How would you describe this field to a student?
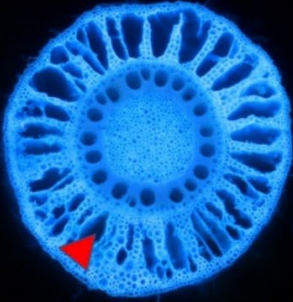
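This root cross-section shows root cortical aerenchyma, in which much of the cortex has been replaced by large air spaces. The air spaces are elongated and arranged radially, separated by narrow strands of remaining cells that run like spokes from the inner to the outer cortex. A few layers of intact small cells remain at the outer edge and next to the central cylinder. The central cylinder holds a ring of round vessel openings around a core of small, tightly packed cells.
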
